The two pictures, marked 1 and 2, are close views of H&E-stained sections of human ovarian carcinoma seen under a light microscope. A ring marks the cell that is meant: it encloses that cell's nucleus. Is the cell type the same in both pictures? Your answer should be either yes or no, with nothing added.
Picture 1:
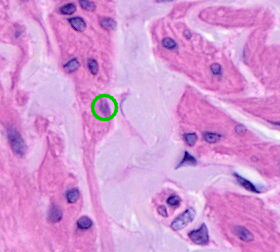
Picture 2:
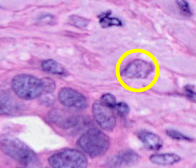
no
